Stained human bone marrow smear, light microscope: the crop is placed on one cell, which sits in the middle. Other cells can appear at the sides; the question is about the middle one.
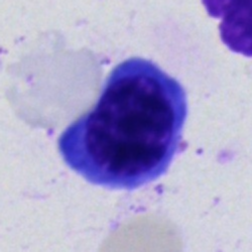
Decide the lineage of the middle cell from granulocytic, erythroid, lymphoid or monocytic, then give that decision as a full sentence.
The lineage of the central cell is the erythroid lineage.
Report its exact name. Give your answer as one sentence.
Positioned in the middle of the crop is an erythroblast.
